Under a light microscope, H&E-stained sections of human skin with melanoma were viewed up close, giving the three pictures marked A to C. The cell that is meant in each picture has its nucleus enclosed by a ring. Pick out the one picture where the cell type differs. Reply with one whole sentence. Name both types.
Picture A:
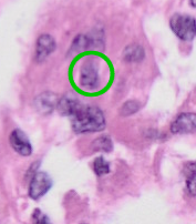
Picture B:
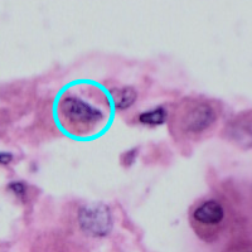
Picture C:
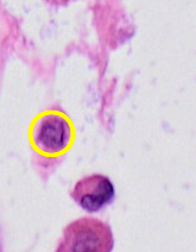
Unlike the rest, which show “macrophages or monocytes”, picture A shows a melanoma cell.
